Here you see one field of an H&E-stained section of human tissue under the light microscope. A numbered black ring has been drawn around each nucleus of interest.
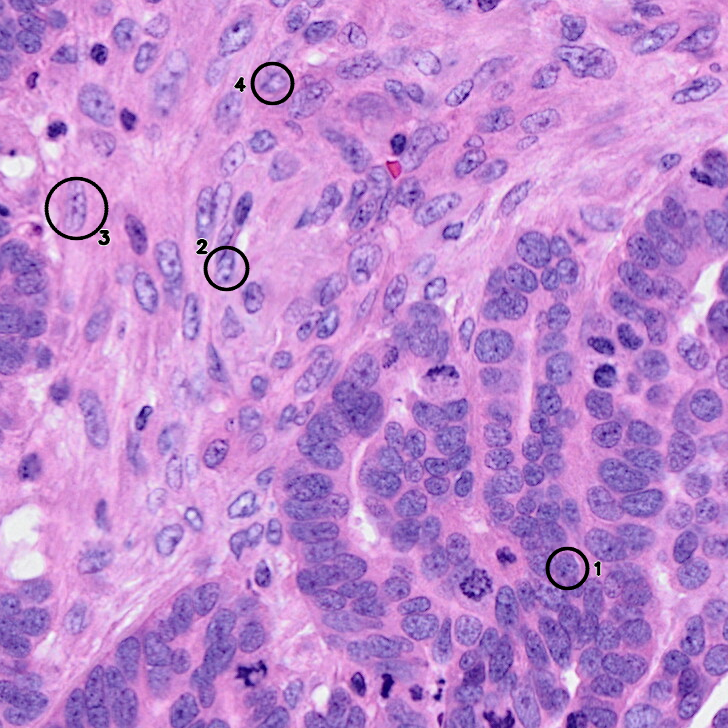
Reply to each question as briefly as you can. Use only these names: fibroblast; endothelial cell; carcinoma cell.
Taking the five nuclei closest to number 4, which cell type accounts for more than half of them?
endothelial cell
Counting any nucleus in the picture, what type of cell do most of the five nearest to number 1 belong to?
carcinoma cell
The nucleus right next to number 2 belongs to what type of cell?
fibroblast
